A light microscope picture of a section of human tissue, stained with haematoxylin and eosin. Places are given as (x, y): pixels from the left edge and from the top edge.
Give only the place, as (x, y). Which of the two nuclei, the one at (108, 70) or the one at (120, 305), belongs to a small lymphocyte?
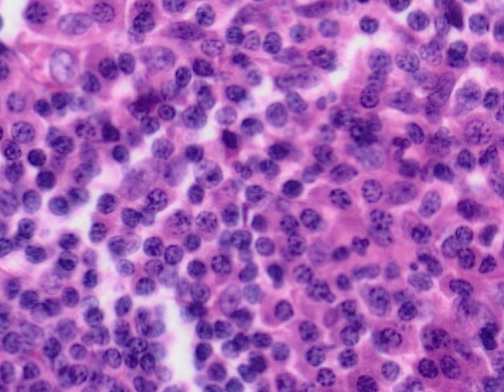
(120, 305)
